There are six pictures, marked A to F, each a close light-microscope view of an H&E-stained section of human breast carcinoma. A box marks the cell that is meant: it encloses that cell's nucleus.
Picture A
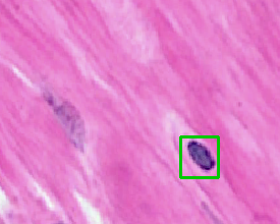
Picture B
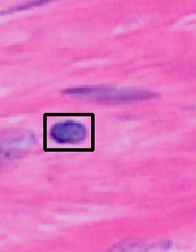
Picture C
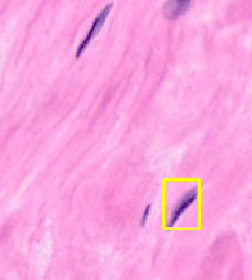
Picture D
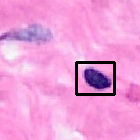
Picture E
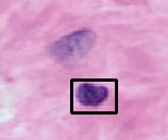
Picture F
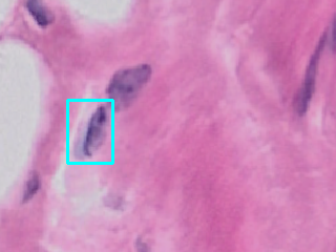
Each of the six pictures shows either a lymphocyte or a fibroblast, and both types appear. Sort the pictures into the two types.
A: lymphocyte
B: lymphocyte
C: fibroblast
D: lymphocyte
E: lymphocyte
F: fibroblast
